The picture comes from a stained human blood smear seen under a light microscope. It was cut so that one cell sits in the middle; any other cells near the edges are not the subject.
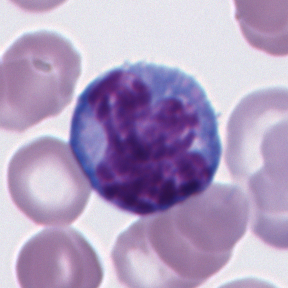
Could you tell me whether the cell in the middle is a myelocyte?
no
